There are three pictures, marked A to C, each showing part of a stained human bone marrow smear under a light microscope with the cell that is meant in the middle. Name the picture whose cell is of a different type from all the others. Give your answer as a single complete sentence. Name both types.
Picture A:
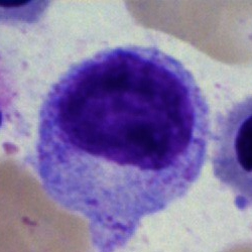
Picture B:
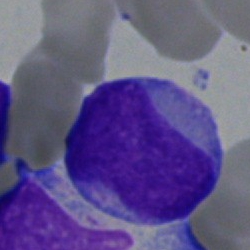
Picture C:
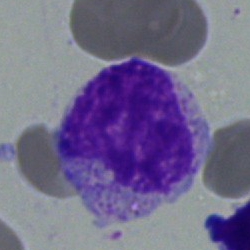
The different one is picture B; it shows a blast, whereas all the others show myelocytes.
